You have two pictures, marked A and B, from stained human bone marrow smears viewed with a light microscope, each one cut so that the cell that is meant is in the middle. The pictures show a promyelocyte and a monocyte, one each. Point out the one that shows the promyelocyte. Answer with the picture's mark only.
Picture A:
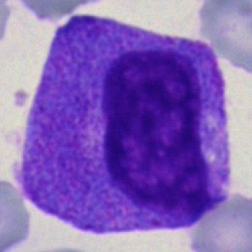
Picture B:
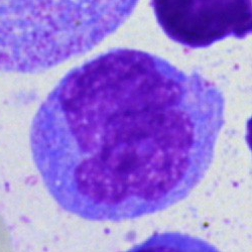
A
